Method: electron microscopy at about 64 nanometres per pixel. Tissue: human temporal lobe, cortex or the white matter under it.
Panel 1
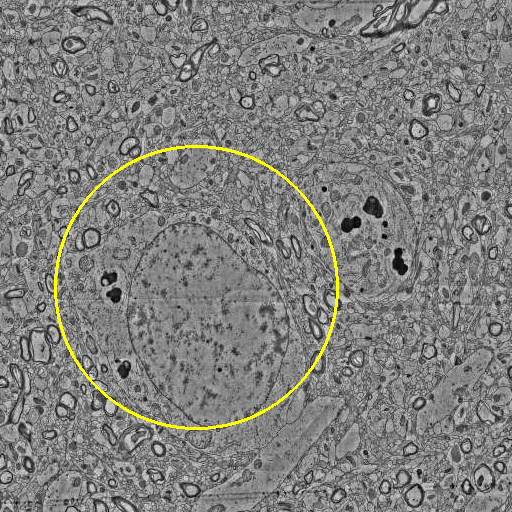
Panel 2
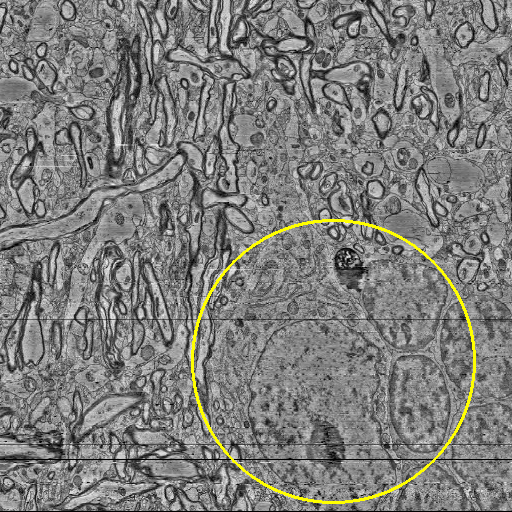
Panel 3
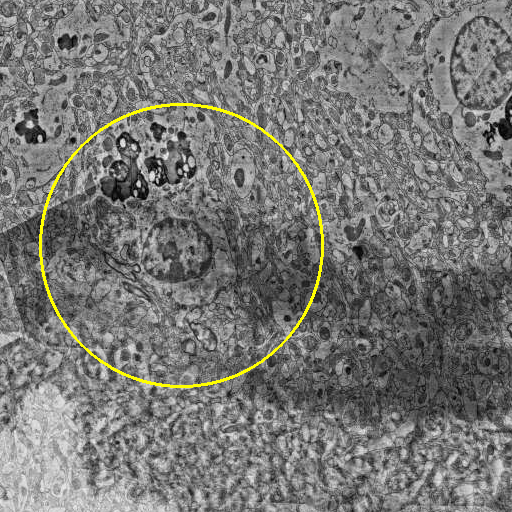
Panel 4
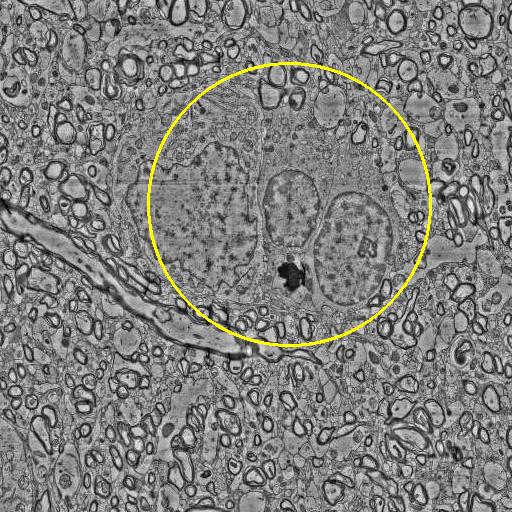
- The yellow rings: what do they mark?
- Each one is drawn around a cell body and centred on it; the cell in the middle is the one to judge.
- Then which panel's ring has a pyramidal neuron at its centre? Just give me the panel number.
1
